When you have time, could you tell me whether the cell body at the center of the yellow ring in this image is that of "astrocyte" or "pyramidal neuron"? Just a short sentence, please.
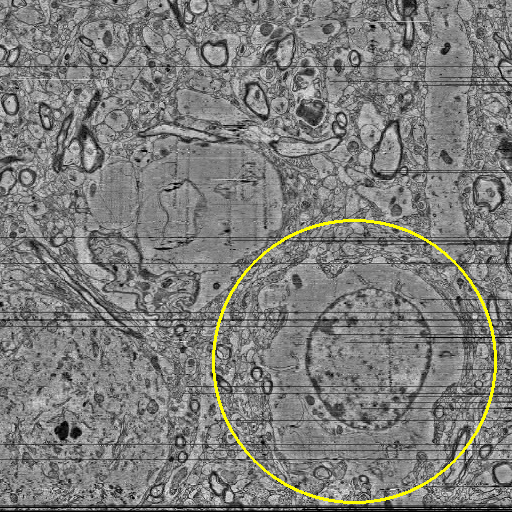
The cell body at the center of the ring is that of an astrocyte.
